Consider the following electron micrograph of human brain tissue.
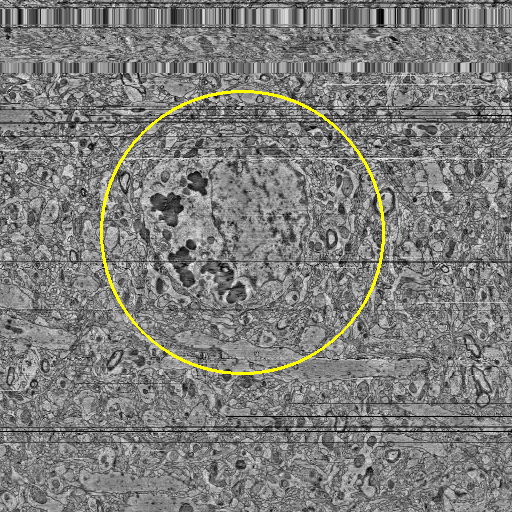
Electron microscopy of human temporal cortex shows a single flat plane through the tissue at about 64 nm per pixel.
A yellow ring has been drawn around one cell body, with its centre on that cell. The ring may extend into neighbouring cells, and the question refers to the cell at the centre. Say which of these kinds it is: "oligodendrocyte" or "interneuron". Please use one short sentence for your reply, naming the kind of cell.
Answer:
The centre of the ring falls on an interneuron.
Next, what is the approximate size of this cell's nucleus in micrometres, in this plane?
Roughly 9 by 7 micrometres in this plane, for the nucleus of the ringed cell.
